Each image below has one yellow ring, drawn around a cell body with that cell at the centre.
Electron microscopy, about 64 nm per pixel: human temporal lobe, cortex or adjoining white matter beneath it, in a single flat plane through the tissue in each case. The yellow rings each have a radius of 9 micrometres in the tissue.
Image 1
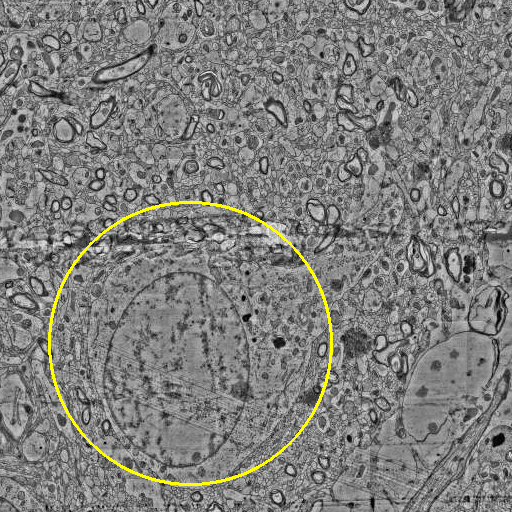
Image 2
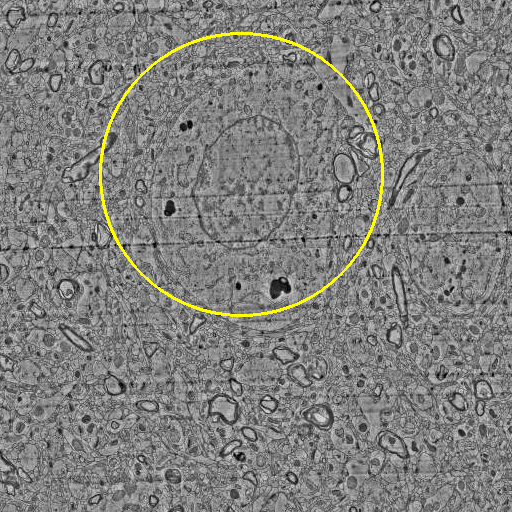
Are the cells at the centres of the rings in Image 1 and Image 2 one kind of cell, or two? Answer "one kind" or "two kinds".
one kind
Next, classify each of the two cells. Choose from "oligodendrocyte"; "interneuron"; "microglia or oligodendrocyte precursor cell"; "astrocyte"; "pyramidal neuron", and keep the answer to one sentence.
Each of the two rings is centred on a pyramidal neuron.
